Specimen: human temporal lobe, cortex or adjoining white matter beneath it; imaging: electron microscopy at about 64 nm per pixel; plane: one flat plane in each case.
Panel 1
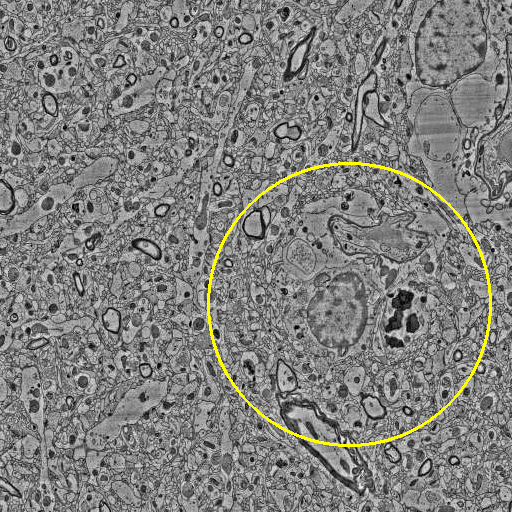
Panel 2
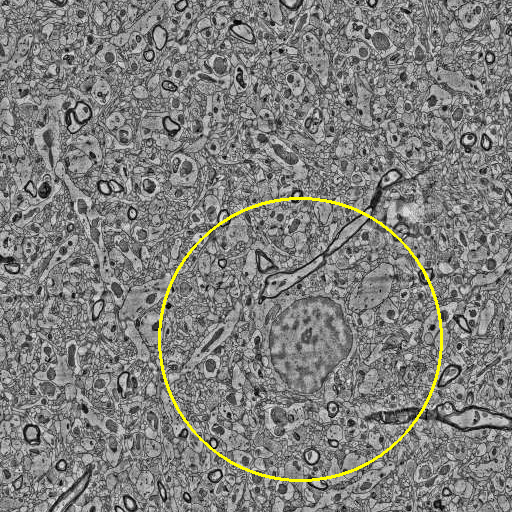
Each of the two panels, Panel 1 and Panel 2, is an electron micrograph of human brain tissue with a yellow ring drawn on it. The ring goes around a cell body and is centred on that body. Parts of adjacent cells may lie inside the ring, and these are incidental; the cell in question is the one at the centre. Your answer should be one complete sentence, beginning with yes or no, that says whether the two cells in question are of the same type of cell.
Yes, the two cells are of the same type.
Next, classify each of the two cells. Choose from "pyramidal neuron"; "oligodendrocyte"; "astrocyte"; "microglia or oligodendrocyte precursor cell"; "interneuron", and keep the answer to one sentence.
Both pictures show an oligodendrocyte at the centre of the ring.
